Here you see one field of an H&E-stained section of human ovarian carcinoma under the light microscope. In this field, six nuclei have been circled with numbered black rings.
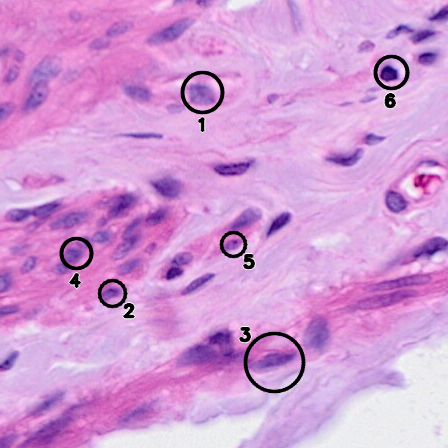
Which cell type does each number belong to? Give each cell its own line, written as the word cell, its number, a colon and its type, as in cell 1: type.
cell 1: endothelial cell
cell 2: smooth muscle cell
cell 3: smooth muscle cell
cell 4: smooth muscle cell
cell 5: smooth muscle cell
cell 6: lymphocyte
